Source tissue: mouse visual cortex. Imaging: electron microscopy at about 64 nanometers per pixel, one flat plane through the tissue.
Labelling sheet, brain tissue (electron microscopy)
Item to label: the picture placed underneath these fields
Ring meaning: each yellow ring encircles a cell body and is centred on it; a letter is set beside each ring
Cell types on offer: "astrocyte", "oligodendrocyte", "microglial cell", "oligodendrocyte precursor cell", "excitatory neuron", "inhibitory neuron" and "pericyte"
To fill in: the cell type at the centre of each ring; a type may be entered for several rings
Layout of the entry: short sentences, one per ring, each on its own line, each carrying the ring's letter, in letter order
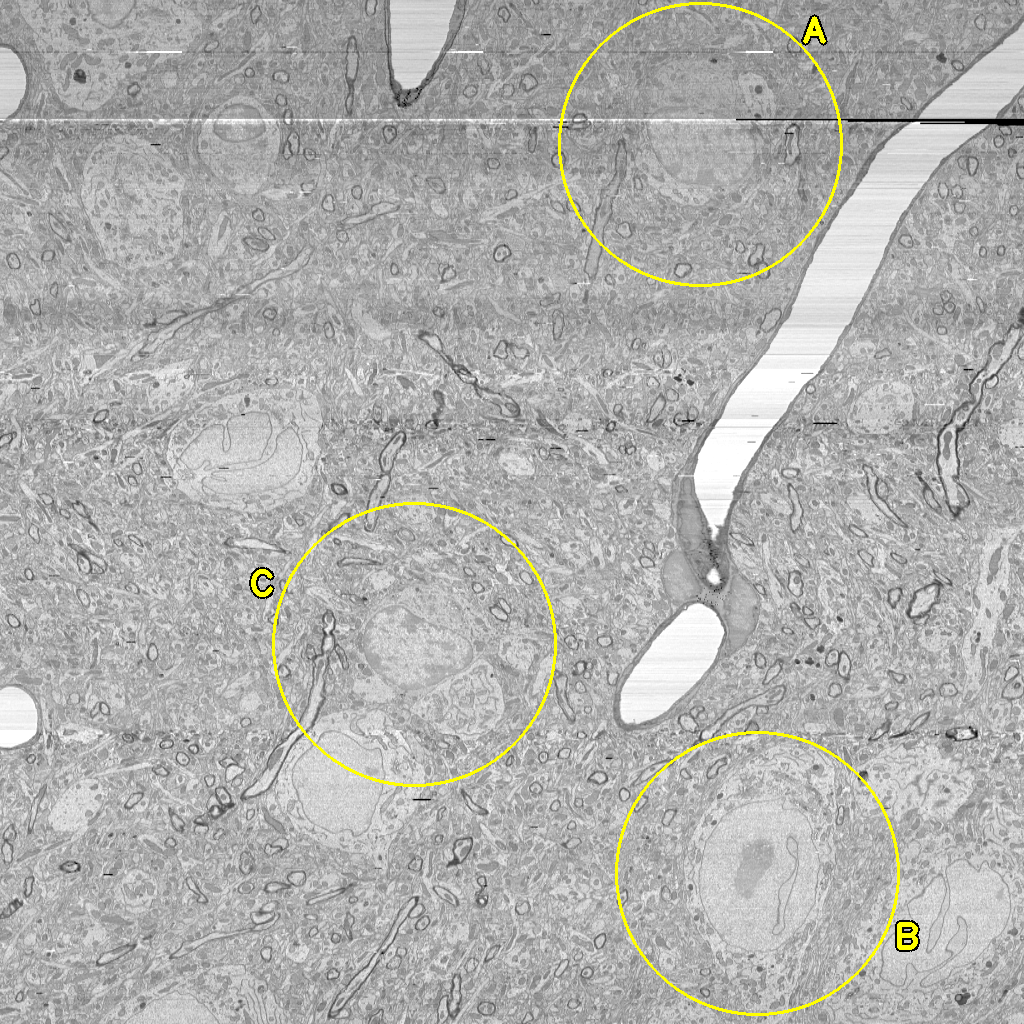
Ring A encircles the body of an oligodendrocyte.
Ring B encircles the body of an inhibitory neuron.
Ring C encircles the body of an oligodendrocyte.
